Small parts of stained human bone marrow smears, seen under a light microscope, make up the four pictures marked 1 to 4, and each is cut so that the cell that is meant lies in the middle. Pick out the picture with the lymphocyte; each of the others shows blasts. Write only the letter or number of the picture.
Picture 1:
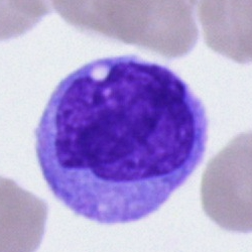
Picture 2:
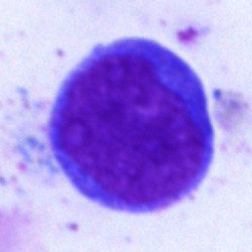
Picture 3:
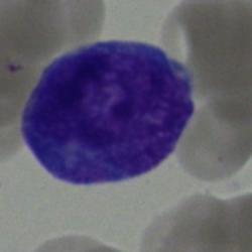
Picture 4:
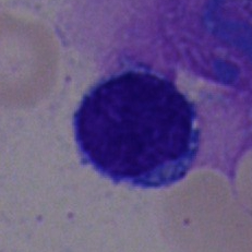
4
